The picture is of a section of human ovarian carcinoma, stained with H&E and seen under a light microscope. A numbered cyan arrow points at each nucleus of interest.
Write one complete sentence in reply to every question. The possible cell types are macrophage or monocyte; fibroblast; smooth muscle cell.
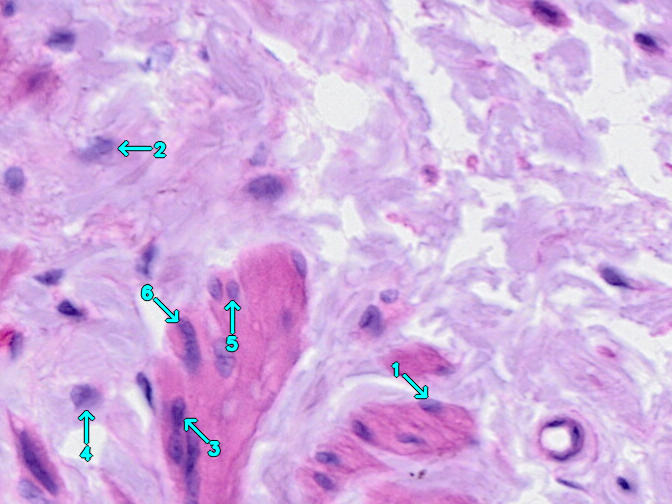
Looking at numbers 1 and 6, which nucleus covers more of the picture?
Nucleus 6 is larger, with an area about 1.5 times that of nucleus 1.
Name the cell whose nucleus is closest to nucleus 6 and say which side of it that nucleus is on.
Just below nucleus 6 lies the nearest nucleus, which belongs to a smooth muscle cell.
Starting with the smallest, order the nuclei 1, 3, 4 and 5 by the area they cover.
From smallest to largest, the order is 5, 1, 3, 4.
